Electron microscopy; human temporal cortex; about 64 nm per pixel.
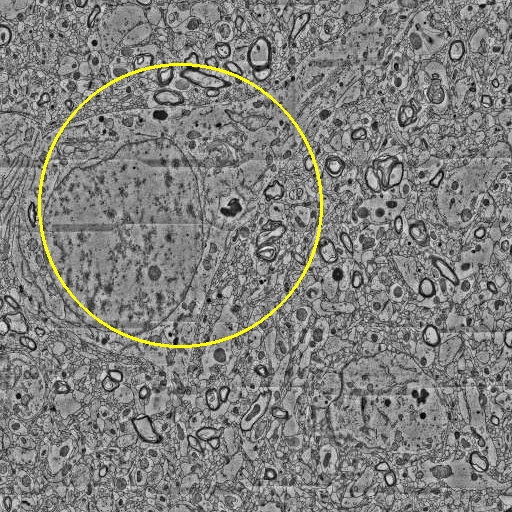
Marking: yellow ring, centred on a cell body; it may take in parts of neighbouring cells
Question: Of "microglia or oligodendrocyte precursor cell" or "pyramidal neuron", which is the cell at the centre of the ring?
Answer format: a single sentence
The ring surrounds the body of a pyramidal neuron.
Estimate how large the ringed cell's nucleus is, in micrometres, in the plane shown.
Roughly 13 micrometres by 11 micrometres, in this plane.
